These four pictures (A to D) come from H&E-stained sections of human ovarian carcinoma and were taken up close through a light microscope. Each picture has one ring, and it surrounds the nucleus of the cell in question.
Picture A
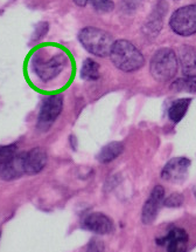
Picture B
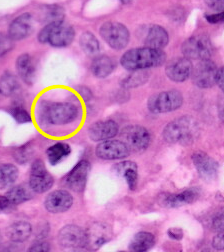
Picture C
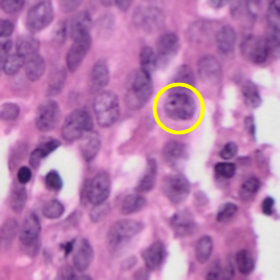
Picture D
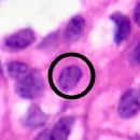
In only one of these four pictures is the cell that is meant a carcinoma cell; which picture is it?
B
